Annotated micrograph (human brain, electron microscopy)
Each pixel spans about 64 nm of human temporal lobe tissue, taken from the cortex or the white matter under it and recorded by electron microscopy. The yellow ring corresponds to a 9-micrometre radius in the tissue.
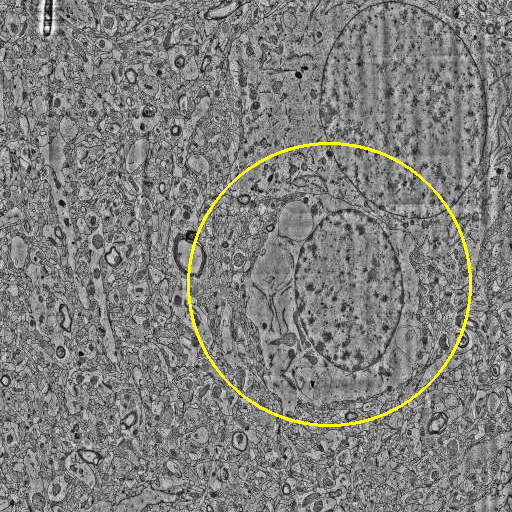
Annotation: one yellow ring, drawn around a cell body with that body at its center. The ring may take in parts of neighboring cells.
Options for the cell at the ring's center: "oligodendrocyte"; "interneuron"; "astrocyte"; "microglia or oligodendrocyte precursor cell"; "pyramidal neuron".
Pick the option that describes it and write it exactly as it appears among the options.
astrocyte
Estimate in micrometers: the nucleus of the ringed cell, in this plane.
In this plane, roughly 10 by 7 micrometres.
